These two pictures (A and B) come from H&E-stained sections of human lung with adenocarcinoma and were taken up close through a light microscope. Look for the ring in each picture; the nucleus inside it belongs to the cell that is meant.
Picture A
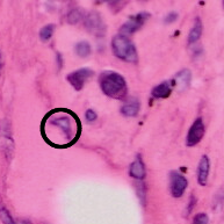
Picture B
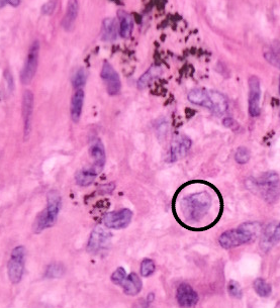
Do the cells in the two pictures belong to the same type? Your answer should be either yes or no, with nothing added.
no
